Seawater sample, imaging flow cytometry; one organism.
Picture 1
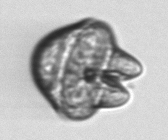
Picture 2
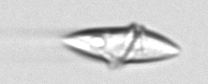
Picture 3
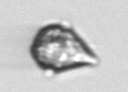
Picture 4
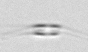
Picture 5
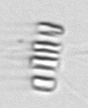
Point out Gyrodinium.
That is picture 2.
